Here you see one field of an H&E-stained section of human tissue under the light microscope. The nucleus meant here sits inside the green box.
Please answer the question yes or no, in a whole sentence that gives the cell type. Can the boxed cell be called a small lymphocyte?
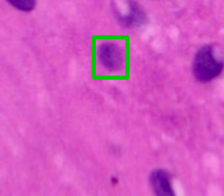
No, within this section, the boxed cell is categorized as a squamous epithelial cell rather than a small lymphocyte.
